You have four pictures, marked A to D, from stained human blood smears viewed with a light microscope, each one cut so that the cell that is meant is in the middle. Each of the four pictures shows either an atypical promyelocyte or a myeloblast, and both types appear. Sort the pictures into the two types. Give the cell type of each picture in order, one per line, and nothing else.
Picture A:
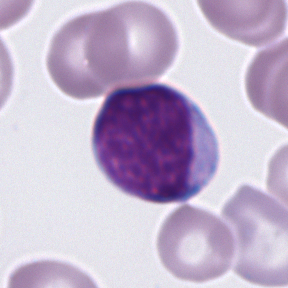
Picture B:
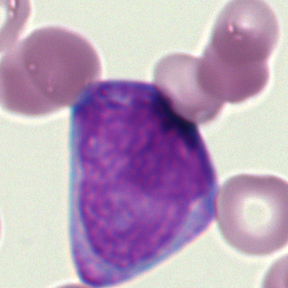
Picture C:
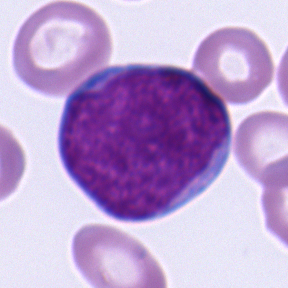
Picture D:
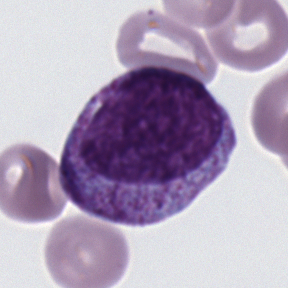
myeloblast
atypical promyelocyte
myeloblast
atypical promyelocyte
